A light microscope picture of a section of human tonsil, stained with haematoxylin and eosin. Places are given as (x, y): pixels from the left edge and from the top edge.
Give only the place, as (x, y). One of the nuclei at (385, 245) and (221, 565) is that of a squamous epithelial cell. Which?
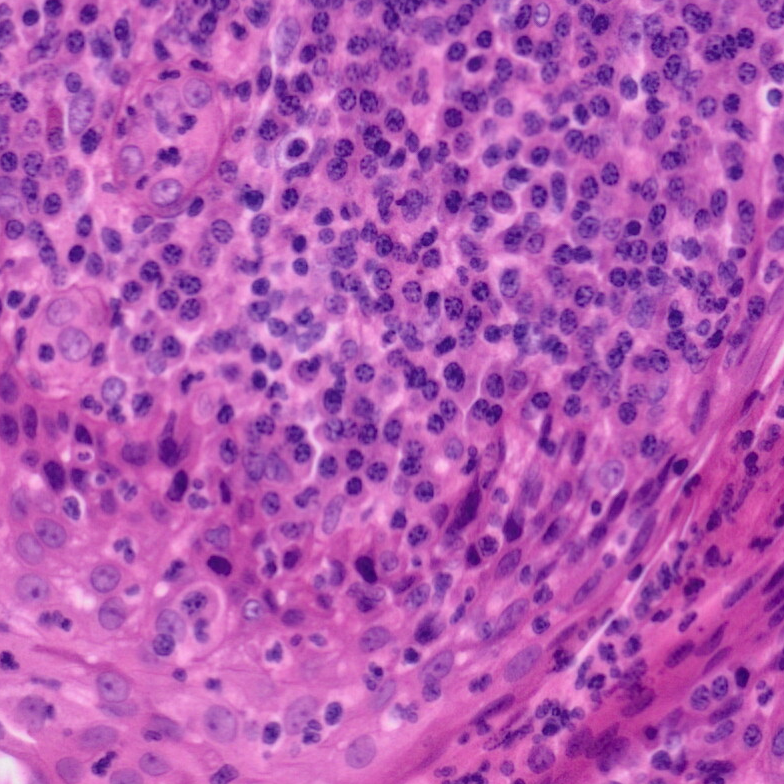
(221, 565)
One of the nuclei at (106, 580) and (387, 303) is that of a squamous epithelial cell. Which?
(106, 580)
